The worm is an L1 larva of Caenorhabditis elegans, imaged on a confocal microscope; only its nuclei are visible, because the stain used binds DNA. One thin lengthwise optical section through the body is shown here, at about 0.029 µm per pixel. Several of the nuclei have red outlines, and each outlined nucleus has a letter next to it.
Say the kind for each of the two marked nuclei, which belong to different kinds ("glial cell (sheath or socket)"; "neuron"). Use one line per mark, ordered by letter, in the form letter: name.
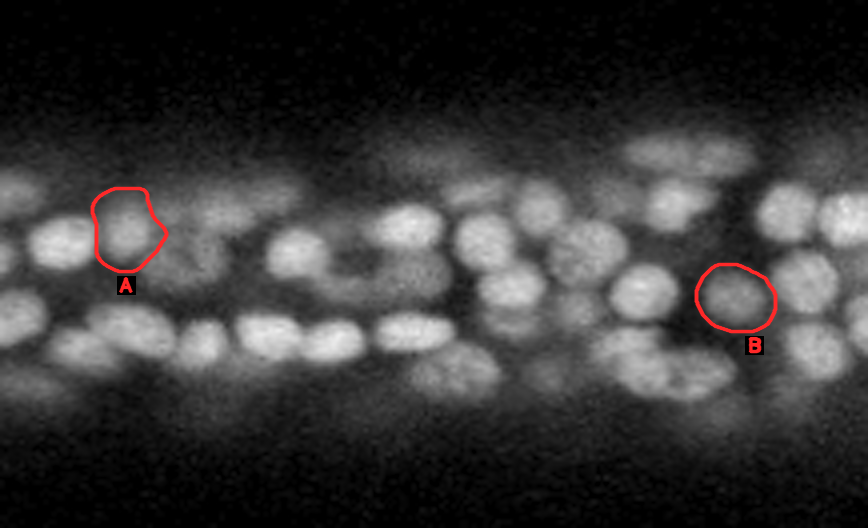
A: glial cell (sheath or socket)
B: neuron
